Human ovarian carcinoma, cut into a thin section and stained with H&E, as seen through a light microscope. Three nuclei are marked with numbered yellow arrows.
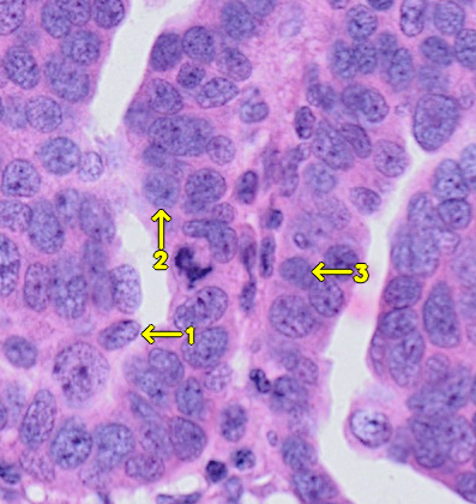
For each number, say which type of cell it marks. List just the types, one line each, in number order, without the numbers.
macrophage or monocyte
carcinoma cell
carcinoma cell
